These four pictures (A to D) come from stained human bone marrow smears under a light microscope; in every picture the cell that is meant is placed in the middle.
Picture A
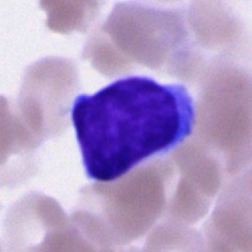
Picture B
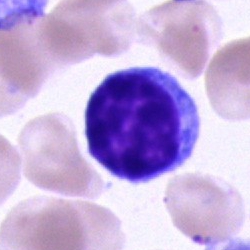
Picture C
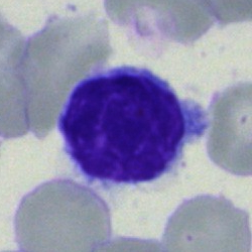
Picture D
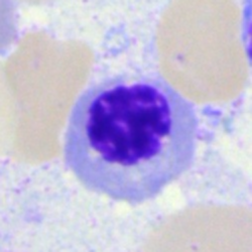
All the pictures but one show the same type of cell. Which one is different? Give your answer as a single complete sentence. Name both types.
The different one is picture D; it shows an erythroblast, whereas all the others show lymphocytes.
